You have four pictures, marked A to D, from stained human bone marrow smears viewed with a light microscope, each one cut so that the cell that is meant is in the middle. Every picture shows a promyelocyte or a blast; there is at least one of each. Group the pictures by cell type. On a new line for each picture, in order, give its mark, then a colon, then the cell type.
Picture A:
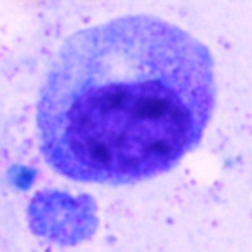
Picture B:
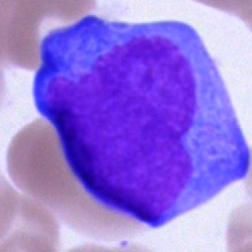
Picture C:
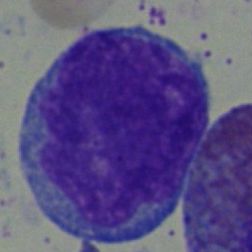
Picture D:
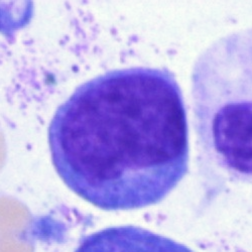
A: promyelocyte
B: blast
C: blast
D: blast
